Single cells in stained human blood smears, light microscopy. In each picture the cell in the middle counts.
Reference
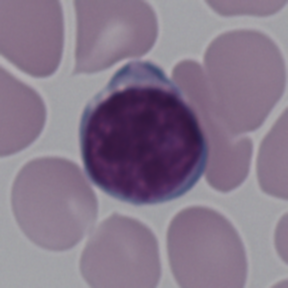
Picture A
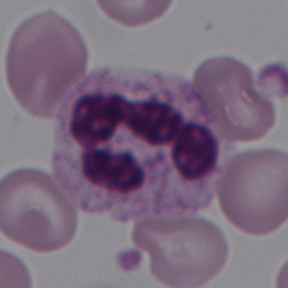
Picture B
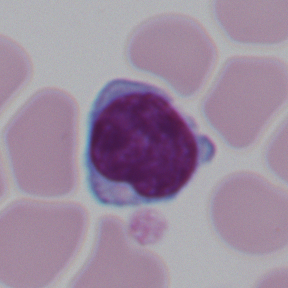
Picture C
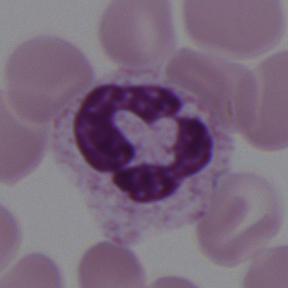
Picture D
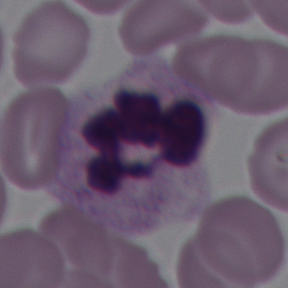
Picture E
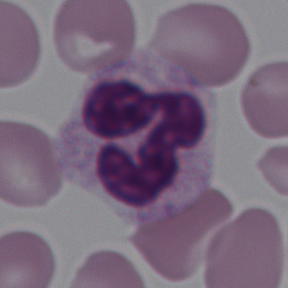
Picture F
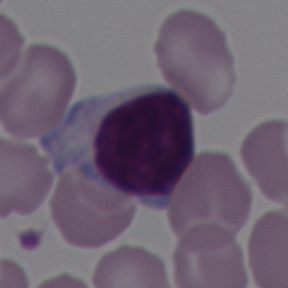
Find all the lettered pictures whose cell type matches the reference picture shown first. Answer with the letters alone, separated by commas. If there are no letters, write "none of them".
B, F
